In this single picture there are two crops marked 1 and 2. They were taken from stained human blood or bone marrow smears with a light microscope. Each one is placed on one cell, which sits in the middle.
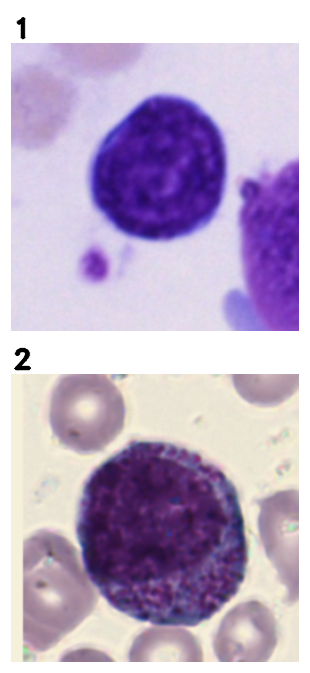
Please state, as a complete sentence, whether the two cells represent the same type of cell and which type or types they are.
No, in crop 1 there is a blast, and in crop 2 there is a promyelocyte.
